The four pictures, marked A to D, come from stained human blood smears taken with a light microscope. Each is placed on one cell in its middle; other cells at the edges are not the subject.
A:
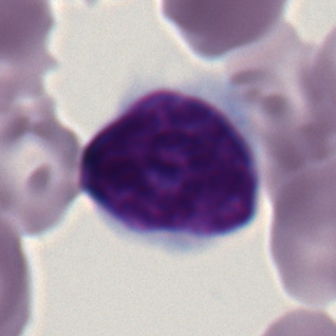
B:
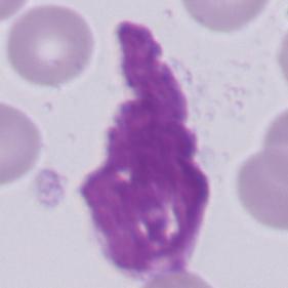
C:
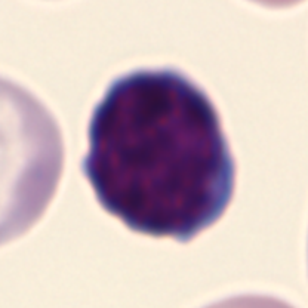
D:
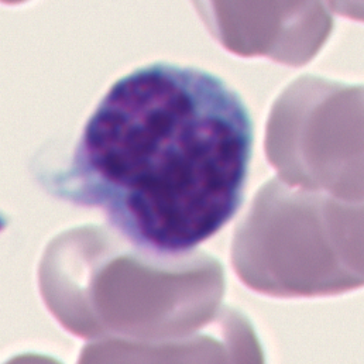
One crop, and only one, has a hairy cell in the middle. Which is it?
A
